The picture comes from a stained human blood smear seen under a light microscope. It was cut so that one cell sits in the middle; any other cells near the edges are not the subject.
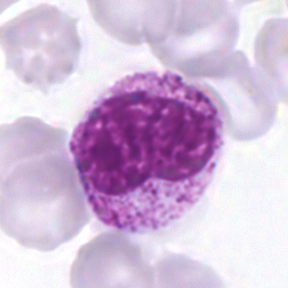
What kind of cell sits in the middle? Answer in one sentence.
Among the cells in view, the one in the middle is a metamyelocyte.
